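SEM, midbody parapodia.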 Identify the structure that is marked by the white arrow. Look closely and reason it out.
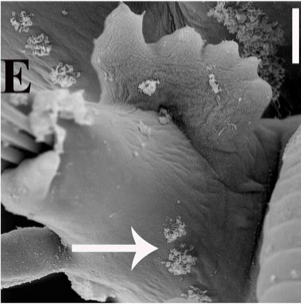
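The arrow points to small scattered bristly clusters on a smooth surface. The clusters are made of fine short filaments. So: tufts of cilia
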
